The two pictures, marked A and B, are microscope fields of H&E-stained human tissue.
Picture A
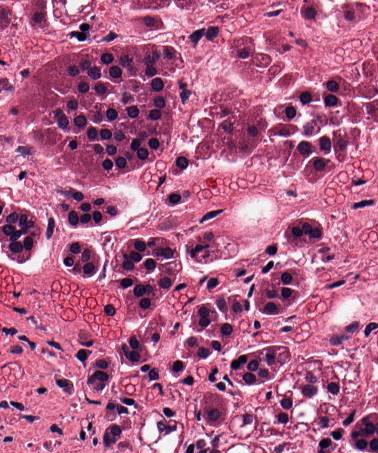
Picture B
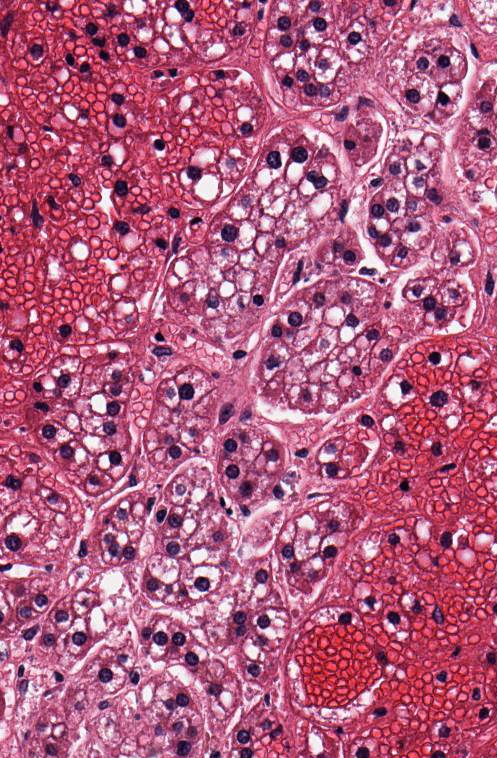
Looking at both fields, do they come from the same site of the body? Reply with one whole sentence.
Yes; both pictures come from the adrenal gland.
